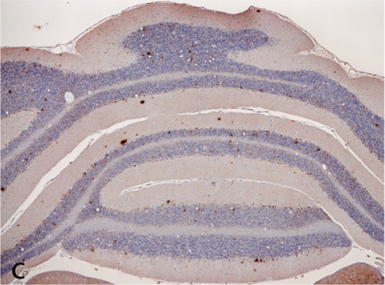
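Cerebellar folia with a densely cellular, blue-counterstained granular layer beneath a pale molecular layer and thin white matter cores. Scattered dark brown dots lie mostly near the border between granular and molecular layers and within the molecular layer.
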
